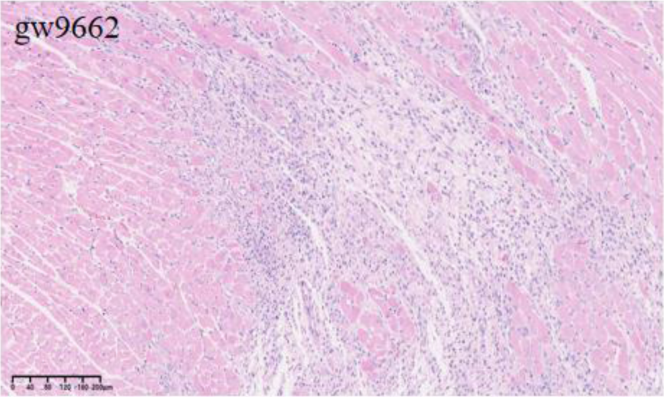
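This is heart muscle stained pink and blue, with a broad diagonal band where the tissue is crowded with many small, round, dark blue-purple nuclei. Within this band the pink muscle fibres are pale, thinned, broken into scattered fragments and pushed apart by the crowded cells and pale spaces. At the edges of the field the muscle fibres still run in orderly parallel pink strands with sparse elongated nuclei. The dense band of small cells among damaged fibres is an inflammatory cell infiltration of the injured myocardium.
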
